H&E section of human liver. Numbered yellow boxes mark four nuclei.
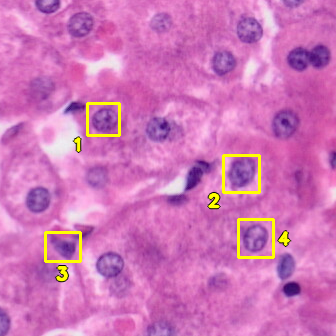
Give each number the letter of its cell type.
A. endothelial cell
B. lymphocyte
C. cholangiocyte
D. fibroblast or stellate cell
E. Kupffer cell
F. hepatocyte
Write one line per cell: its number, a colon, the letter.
1: F
2: F
3: D
4: F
